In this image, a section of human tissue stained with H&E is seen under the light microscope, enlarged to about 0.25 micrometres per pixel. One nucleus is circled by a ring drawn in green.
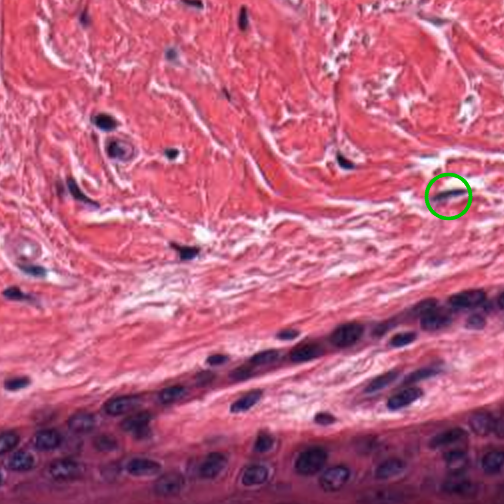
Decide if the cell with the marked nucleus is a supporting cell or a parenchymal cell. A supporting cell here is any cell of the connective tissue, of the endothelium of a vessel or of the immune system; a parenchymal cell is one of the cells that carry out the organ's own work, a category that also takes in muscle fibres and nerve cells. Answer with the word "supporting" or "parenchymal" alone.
supporting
